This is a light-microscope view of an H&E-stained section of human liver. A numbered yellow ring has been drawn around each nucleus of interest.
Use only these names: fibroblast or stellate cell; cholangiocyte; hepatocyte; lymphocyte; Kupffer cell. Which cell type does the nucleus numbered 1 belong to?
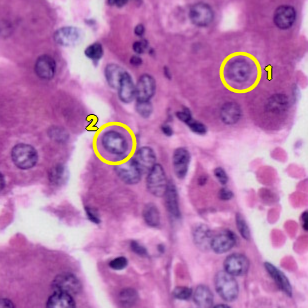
hepatocyte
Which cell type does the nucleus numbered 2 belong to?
cholangiocyte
